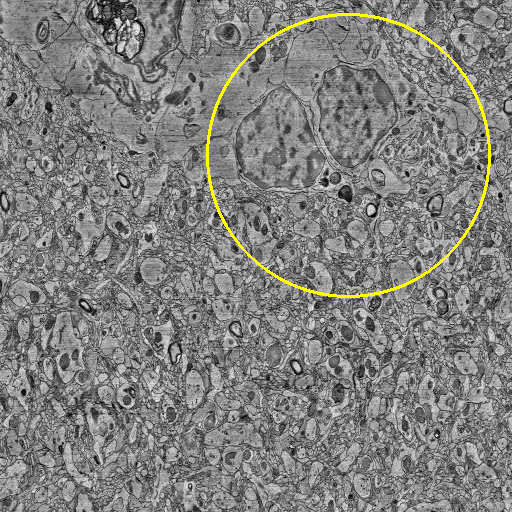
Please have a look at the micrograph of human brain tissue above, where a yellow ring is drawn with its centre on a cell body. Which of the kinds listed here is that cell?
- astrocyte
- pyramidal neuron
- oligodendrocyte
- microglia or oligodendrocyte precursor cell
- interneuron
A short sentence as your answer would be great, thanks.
At the centre of the ring sits a microglial cell or oligodendrocyte precursor cell.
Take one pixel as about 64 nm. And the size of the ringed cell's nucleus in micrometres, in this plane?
The nucleus appears roughly 7 by 5 micrometres in this plane.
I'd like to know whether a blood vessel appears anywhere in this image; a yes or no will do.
Yes, a vessel shows somewhere in the image.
